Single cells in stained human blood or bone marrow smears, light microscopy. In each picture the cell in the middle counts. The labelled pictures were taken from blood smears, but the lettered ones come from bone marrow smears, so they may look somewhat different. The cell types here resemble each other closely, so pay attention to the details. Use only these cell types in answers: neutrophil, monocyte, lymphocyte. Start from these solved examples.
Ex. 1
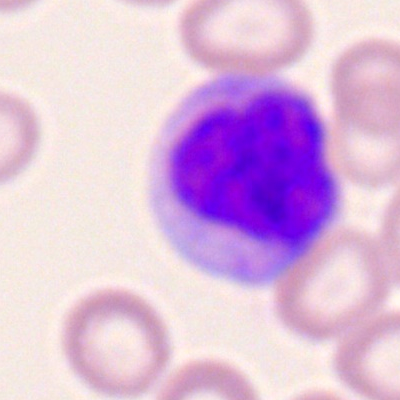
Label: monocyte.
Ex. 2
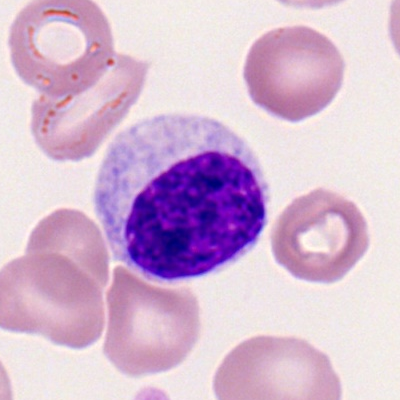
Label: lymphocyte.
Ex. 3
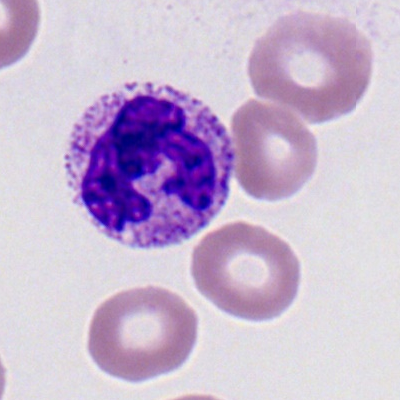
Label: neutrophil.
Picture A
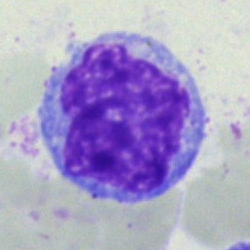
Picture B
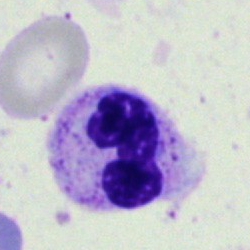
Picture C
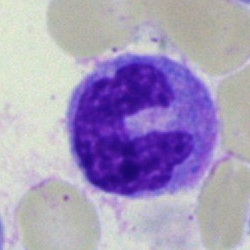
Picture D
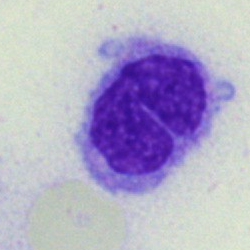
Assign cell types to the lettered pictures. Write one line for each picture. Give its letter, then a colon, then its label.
A: monocyte.
B: neutrophil.
C: monocyte.
D: monocyte.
